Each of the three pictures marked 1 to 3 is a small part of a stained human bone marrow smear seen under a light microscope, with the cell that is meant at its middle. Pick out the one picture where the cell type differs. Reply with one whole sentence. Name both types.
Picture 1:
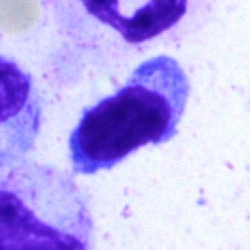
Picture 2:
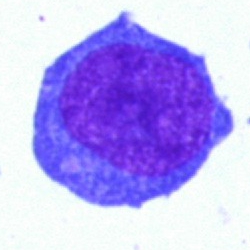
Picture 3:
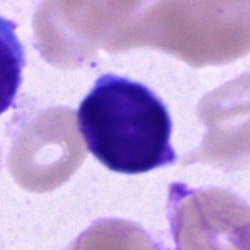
Unlike the rest, which show lymphocytes, picture 2 shows a blast.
